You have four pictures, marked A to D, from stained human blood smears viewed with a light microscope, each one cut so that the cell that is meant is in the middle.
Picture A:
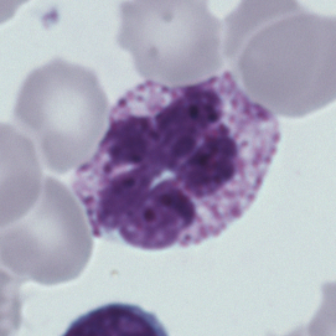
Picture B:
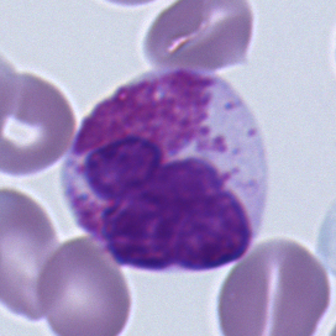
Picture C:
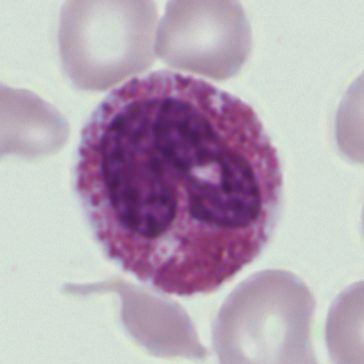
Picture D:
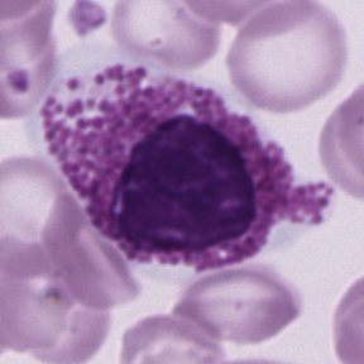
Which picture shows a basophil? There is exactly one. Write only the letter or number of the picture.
A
